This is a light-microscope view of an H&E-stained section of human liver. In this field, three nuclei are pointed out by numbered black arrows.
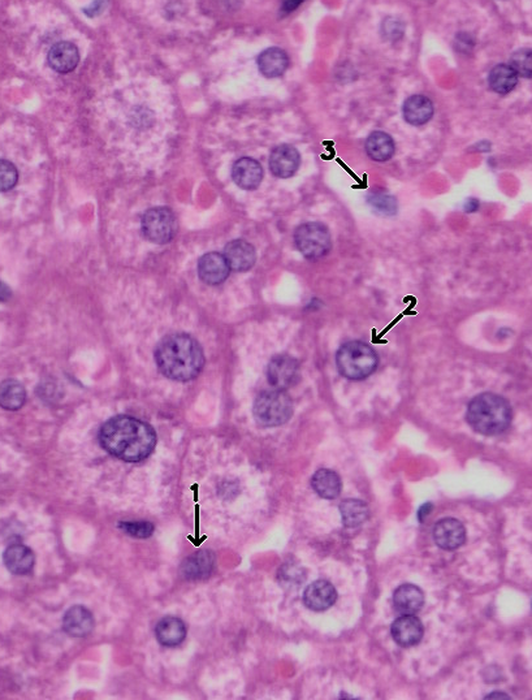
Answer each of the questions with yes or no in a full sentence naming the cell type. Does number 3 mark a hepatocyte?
No, number 3 identifies an endothelial cell, not a hepatocyte.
